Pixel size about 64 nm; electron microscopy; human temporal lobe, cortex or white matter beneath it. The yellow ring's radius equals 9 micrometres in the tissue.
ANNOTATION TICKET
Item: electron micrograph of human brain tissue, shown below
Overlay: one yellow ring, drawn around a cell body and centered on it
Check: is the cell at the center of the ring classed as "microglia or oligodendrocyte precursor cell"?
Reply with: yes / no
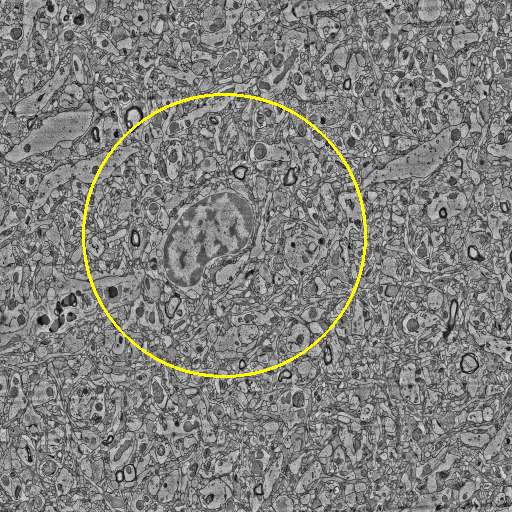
yes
